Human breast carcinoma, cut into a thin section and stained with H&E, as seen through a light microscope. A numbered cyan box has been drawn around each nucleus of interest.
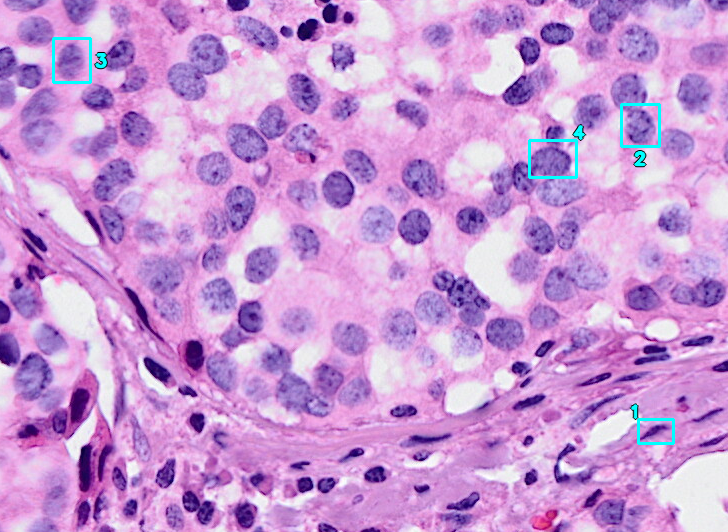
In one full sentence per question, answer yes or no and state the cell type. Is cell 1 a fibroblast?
Yes, the cell marked with number 1 is a fibroblast.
